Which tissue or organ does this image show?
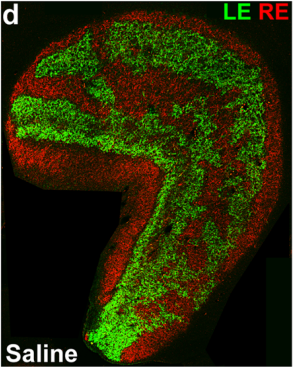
Lateral geniculate nucleus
